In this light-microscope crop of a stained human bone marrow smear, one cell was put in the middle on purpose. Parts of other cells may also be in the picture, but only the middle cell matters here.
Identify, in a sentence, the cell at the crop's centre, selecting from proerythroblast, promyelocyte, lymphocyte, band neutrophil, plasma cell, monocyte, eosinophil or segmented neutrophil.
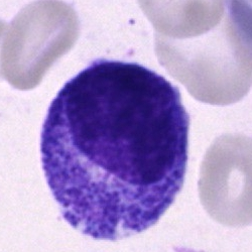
By type, the central cell of the crop is a promyelocyte.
